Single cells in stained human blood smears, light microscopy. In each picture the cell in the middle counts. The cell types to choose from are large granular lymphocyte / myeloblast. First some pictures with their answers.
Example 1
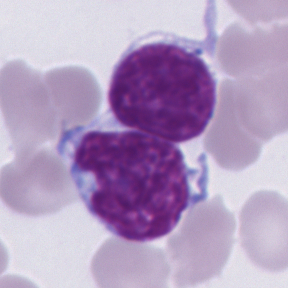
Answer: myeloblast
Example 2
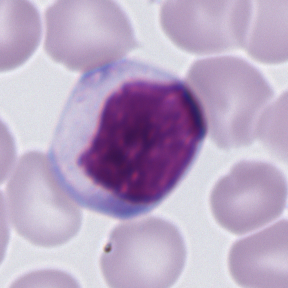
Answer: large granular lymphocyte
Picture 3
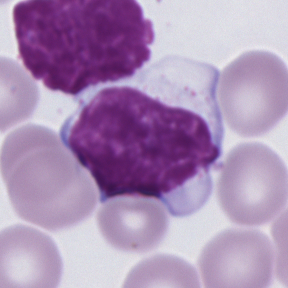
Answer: large granular lymphocyte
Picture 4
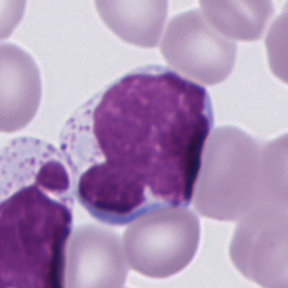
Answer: large granular lymphocyte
